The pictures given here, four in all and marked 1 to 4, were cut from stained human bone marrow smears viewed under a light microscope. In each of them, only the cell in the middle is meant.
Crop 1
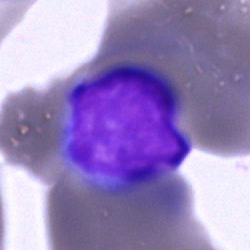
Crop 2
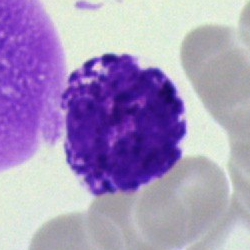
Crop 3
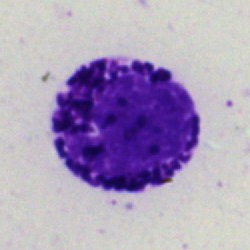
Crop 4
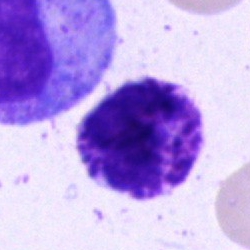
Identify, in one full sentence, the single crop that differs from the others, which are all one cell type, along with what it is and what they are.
The cells centred in the other crops are all basophils, but crop 1 is a lymphocyte.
